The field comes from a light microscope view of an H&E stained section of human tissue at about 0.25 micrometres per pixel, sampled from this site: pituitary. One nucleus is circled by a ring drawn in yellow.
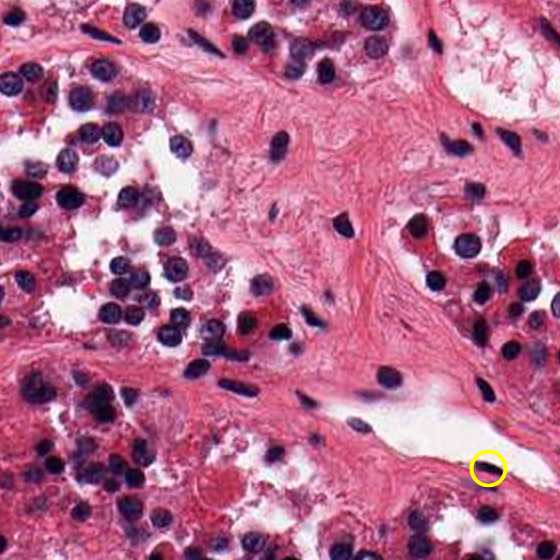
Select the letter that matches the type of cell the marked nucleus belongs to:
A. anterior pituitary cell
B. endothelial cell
B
